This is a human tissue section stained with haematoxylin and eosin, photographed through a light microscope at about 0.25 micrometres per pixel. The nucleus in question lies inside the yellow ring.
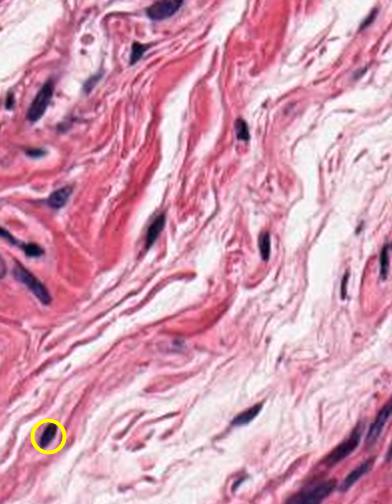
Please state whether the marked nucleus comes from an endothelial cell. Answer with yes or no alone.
no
